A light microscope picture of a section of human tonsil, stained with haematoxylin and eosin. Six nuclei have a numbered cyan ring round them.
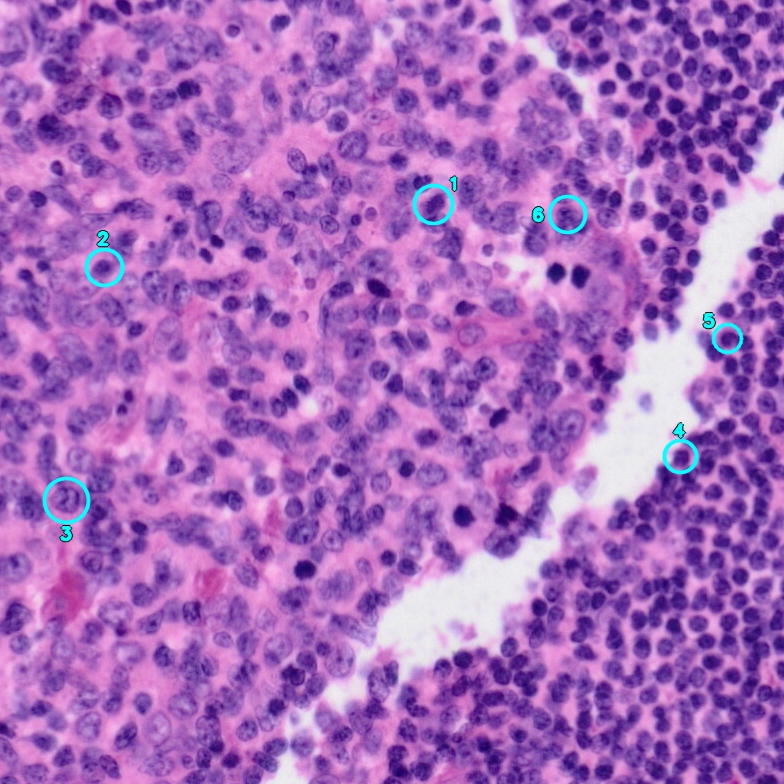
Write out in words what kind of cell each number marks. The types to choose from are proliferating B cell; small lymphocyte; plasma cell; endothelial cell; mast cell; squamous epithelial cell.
Cell 1 is a proliferating B cell, cell 2 is a proliferating B cell, cell 3 is a proliferating B cell, cell 4 is a small lymphocyte, cell 5 is a small lymphocyte and cell 6 is a proliferating B cell.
